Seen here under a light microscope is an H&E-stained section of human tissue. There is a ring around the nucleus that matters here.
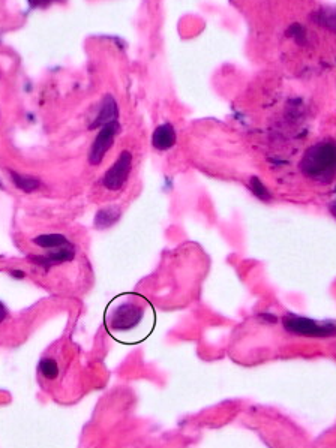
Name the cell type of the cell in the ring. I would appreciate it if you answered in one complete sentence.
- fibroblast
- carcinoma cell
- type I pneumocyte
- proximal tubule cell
The category to which the cell in the ring belongs is that of a type I pneumocyte.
